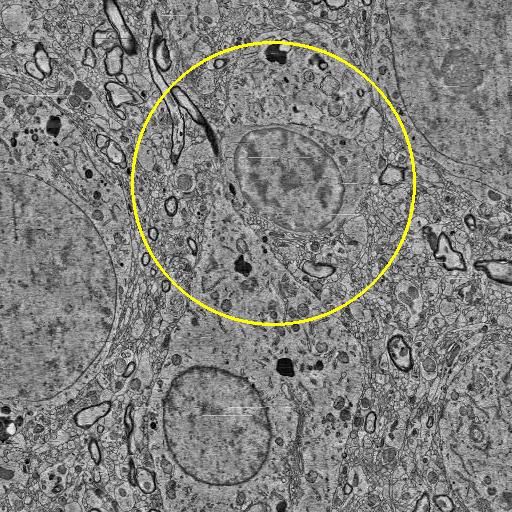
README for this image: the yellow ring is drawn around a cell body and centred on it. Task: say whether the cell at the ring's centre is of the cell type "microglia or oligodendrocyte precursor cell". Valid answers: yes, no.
no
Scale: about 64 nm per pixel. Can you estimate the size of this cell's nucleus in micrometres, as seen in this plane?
About 8 micrometres by about 6 micrometres in this plane.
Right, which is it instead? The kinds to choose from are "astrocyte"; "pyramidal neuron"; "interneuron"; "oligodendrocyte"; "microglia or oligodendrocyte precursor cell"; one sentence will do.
The ring holds an oligodendrocyte at its centre.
